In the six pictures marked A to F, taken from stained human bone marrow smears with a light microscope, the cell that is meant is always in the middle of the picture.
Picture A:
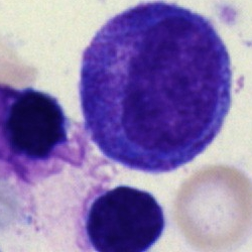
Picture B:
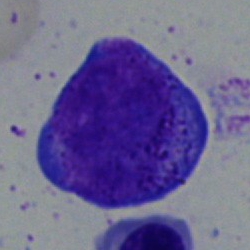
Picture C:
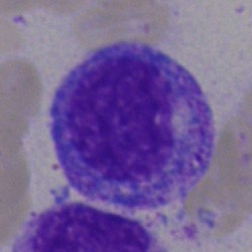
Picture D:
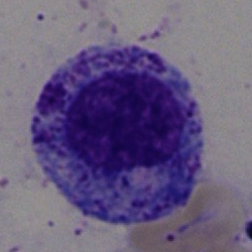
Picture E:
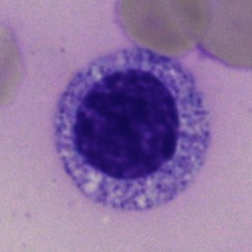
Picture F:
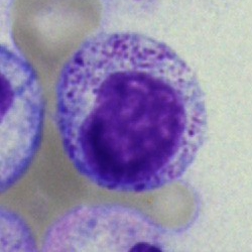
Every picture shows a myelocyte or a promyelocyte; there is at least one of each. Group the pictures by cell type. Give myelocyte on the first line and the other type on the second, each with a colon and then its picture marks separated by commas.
myelocyte: D, E, F
promyelocyte: A, B, C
